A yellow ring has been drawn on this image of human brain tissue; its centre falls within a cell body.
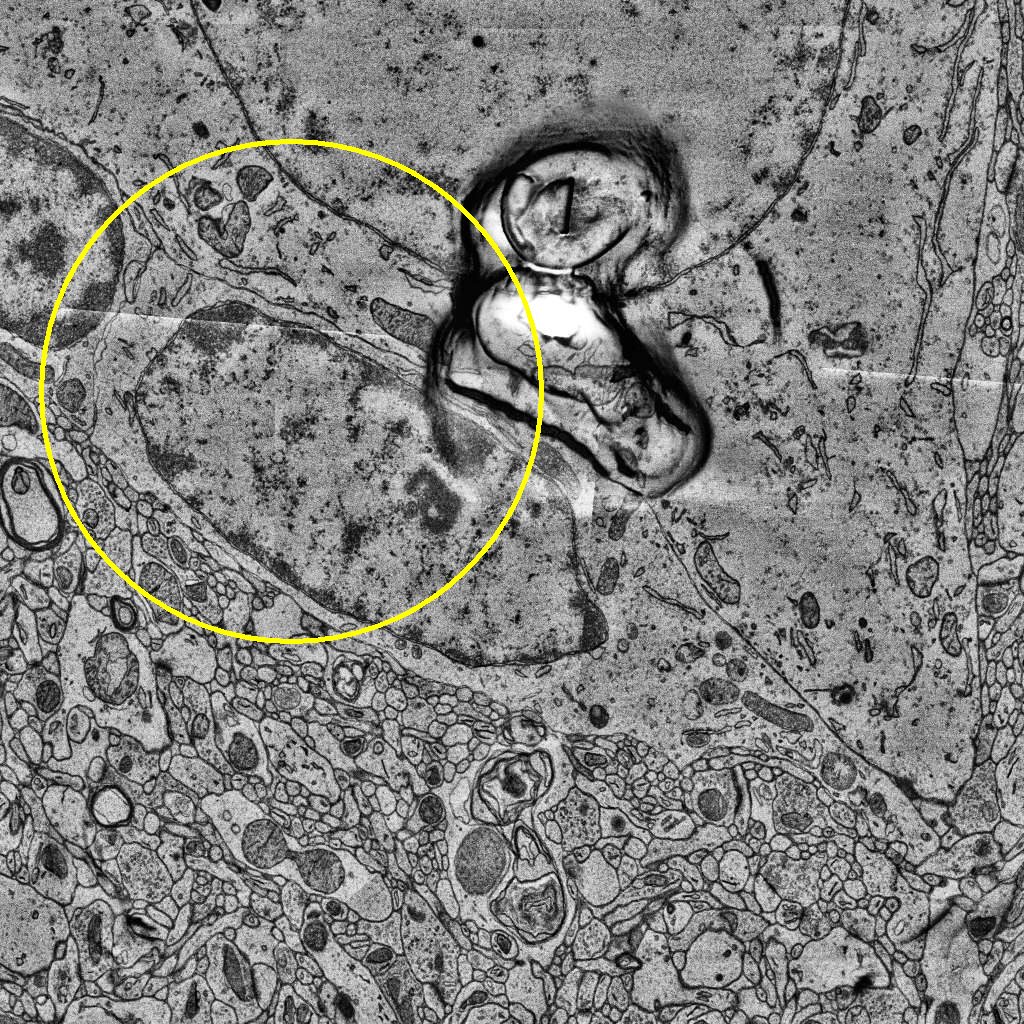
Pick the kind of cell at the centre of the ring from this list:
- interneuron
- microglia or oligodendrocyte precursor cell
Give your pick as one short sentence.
The centre of the ring holds a microglial cell or oligodendrocyte precursor cell.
